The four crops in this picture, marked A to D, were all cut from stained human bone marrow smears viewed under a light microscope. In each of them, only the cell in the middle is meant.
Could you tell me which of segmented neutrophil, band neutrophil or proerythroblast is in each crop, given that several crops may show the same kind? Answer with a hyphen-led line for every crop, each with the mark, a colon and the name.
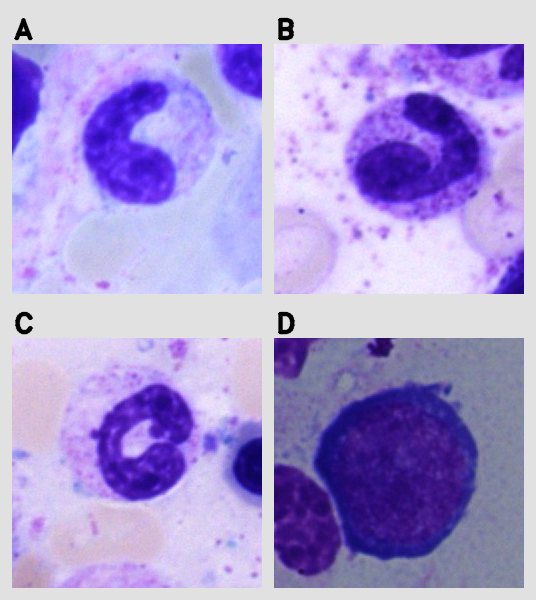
- A: band neutrophil
- B: segmented neutrophil
- C: band neutrophil
- D: proerythroblast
